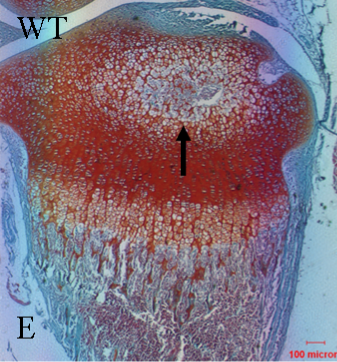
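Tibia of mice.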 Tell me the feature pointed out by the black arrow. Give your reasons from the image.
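The arrow points to a pale, cleared area in the middle of the red-stained epiphyseal cartilage. The area contains enlarged cells and a small cavity. So: secondary ossification center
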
